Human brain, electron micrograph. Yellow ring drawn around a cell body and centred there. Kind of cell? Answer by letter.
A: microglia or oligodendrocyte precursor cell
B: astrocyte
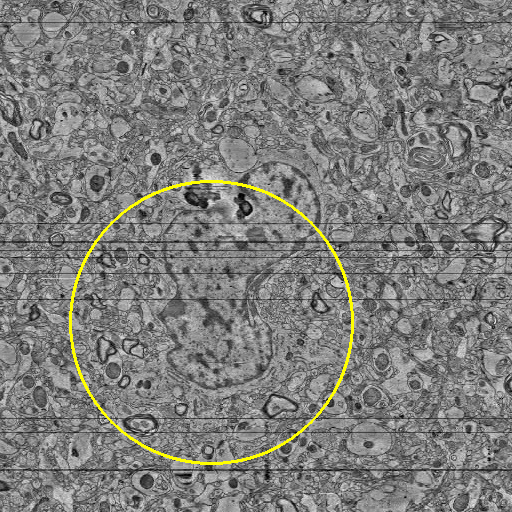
A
